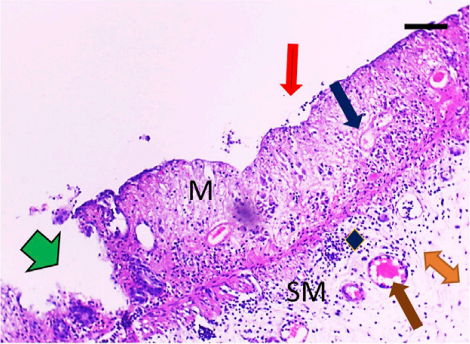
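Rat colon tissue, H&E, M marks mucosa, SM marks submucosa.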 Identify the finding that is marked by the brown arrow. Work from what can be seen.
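Congestion. The arrow points at a vessel filled with bright pink-red contents in the submucosa.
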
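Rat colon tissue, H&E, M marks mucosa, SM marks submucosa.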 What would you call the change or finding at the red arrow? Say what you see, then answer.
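The mucosal surface at the arrow lacks a lining layer of cells. The surface is pale and ragged.
Conclusion: deepithelialization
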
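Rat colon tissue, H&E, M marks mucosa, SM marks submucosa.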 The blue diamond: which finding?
Inflammatory cell infiltration.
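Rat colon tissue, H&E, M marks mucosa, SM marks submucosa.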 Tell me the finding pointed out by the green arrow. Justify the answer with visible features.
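Erosions. The arrow points at a gap where the mucosal surface is broken away. The edge of the tissue there is ragged.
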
